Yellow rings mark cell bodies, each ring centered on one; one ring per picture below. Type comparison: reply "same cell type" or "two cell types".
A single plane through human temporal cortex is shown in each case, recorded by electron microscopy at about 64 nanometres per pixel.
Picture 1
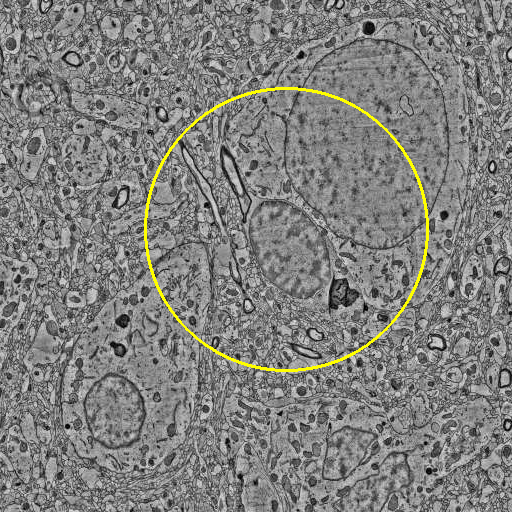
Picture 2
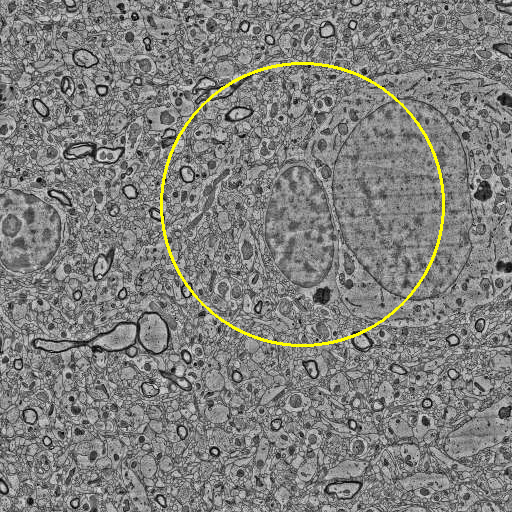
same cell type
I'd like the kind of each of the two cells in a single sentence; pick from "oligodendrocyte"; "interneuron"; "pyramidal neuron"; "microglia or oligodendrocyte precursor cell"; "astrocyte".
The cell at the ring centre is an oligodendrocyte in both pictures.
